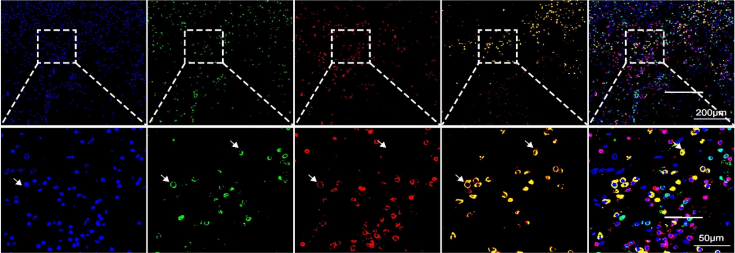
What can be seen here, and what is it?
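Blue nuclei are scattered densely across the field. In the enlargements, many of the labelled cells are small and round, and green, red and orange appear as rings around their nuclei. White arrows mark cells in which rings of more than one colour fall on the same cell in the merged image.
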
